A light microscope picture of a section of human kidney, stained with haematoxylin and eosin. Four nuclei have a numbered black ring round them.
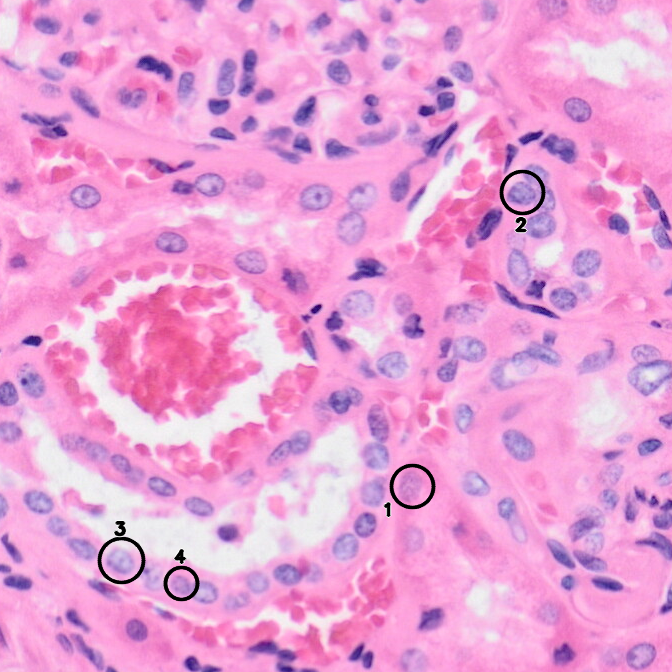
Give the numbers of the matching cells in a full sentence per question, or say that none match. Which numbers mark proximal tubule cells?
Of all the numbered cells, only cell 1 is a proximal tubule cell.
